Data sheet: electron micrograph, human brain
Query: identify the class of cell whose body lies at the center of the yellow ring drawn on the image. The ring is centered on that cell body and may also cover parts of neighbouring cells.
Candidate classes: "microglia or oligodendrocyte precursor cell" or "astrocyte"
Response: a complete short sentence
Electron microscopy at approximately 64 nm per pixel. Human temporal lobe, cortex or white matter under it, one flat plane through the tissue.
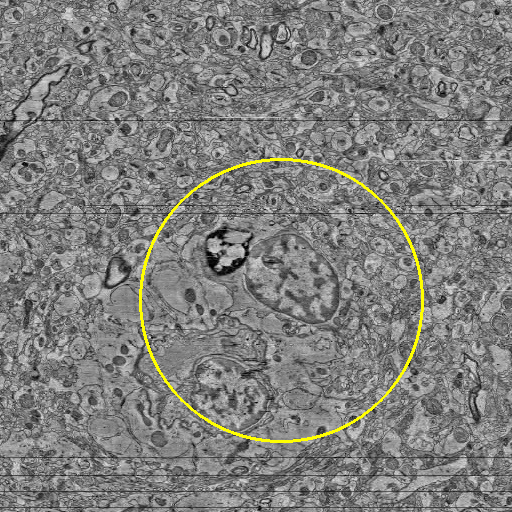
At the center of the ring lies a microglial cell or oligodendrocyte precursor cell.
